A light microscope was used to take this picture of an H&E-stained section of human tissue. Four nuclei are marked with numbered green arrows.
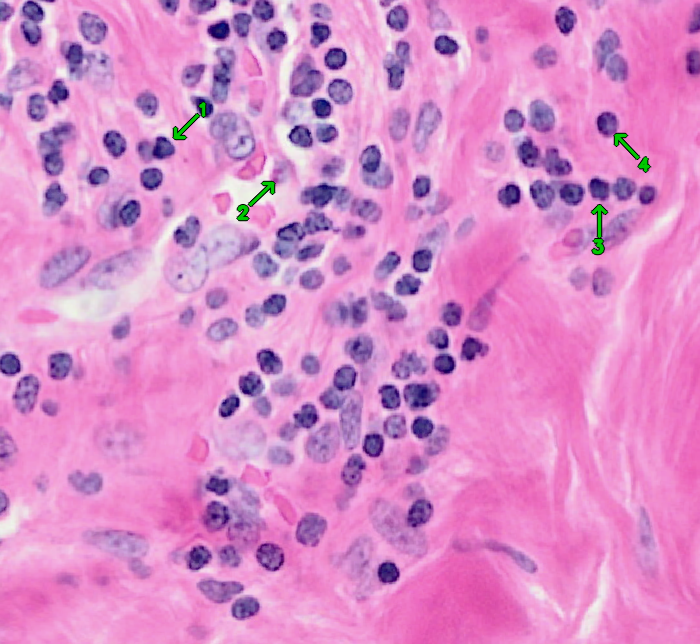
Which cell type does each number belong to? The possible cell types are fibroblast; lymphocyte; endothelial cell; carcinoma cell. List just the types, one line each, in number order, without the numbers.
lymphocyte
endothelial cell
lymphocyte
lymphocyte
